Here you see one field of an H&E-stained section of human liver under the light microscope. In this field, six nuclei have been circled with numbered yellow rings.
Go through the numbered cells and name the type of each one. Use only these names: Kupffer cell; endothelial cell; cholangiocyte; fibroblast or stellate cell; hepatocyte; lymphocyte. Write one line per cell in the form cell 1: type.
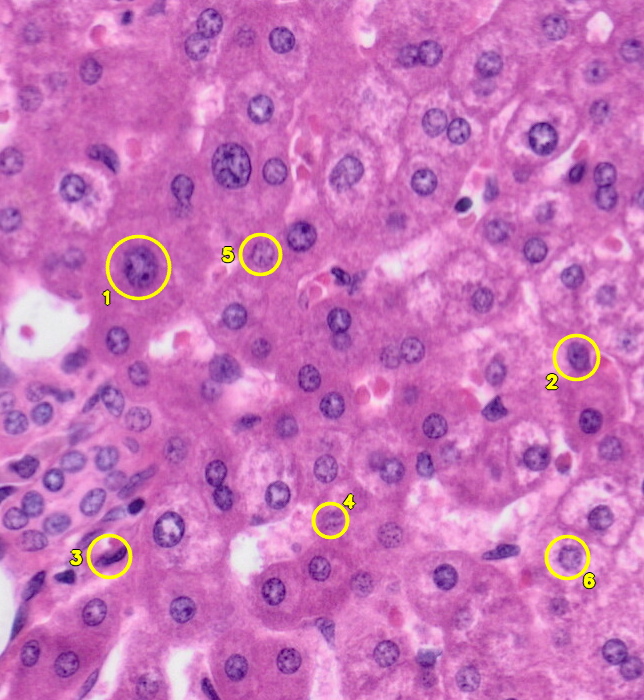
cell 1: hepatocyte
cell 2: endothelial cell
cell 3: fibroblast or stellate cell
cell 4: hepatocyte
cell 5: hepatocyte
cell 6: hepatocyte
